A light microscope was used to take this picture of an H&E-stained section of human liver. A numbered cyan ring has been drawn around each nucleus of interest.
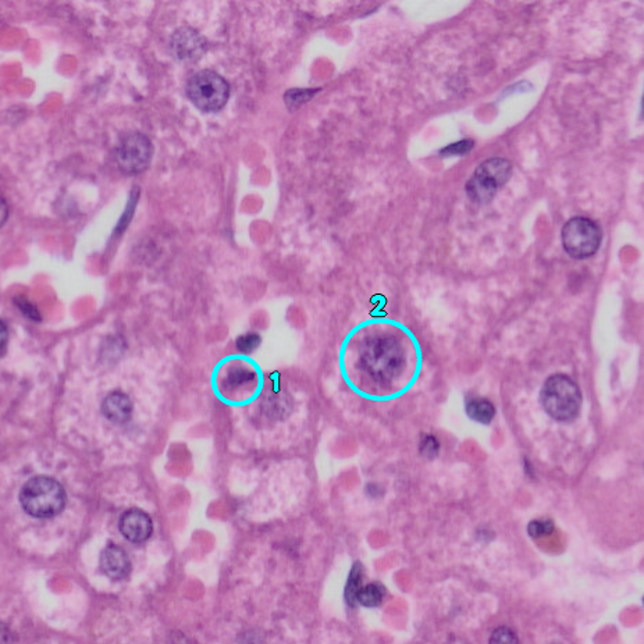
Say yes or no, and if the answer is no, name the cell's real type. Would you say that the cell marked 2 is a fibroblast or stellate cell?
No, it is a hepatocyte.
